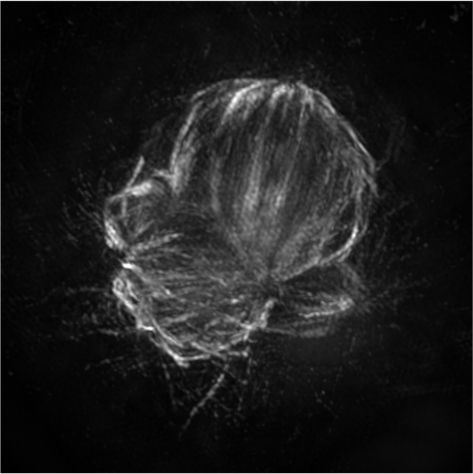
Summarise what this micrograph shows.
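This is a single cultured cell in mitosis, with its microtubules shown in white forming the mitotic spindle. Individual microtubule bundles can be traced as thin bright lines, especially along the outer edges of the spindle. Towards the lower part the fibres become more tangled and crowded, and short thin strands project outward into the surrounding dark background.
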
